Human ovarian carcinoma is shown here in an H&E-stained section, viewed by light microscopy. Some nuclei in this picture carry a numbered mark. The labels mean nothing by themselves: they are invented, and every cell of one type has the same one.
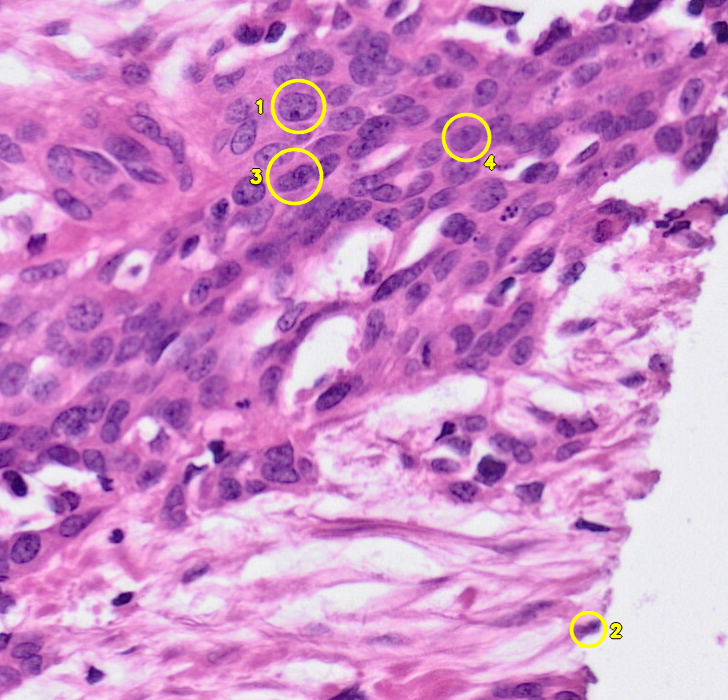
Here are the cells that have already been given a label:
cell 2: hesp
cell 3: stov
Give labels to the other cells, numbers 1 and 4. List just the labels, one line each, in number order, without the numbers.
stov
stov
